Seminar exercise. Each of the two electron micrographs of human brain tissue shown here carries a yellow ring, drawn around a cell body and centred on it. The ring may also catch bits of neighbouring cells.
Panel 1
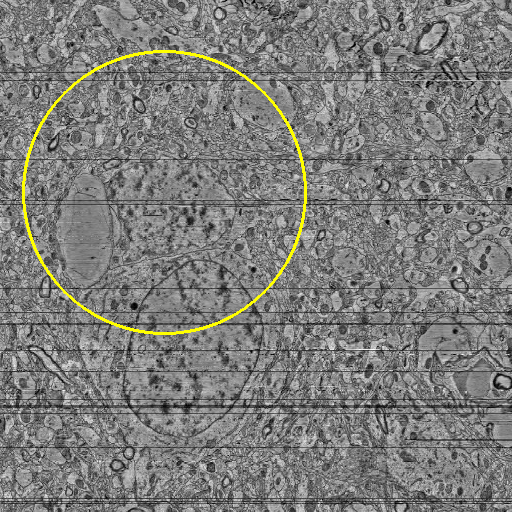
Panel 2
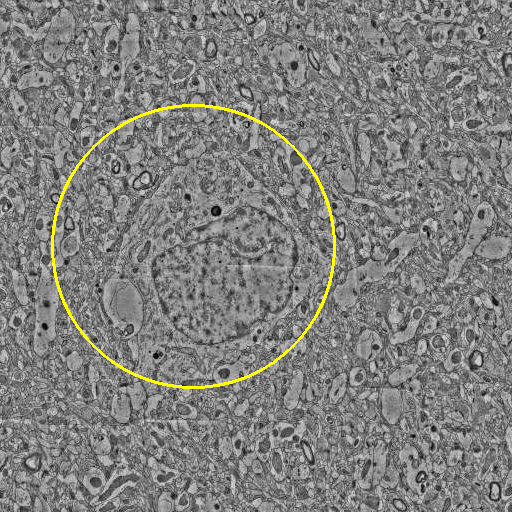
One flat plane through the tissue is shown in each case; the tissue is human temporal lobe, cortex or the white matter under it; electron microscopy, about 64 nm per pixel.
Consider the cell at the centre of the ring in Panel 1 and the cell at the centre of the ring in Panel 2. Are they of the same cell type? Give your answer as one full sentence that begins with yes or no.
Yes, both cells are of the same type.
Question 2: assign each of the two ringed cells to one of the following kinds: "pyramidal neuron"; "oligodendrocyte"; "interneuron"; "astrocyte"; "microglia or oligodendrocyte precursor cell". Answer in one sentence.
The cell in the first picture is an interneuron, and so is the one in the second.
